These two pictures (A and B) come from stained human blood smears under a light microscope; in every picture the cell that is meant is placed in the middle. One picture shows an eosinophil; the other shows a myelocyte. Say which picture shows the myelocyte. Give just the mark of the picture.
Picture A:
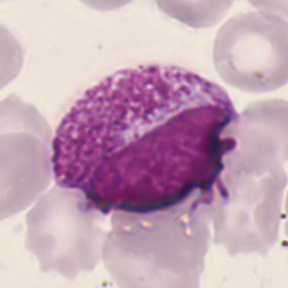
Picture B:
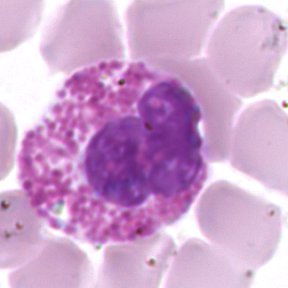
A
